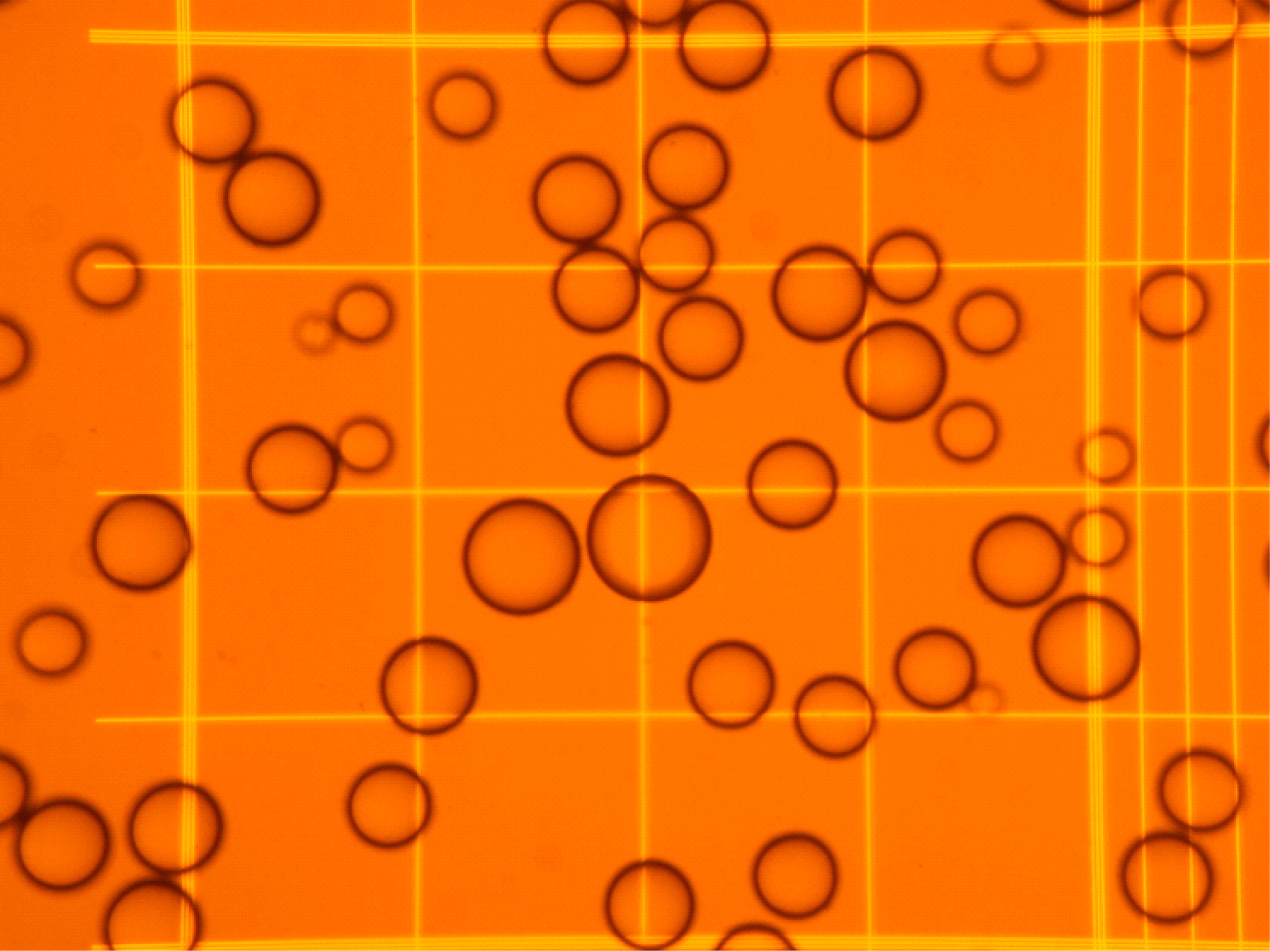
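Isolated adipocytes lie free in suspension as separate round spheres of clearly differing sizes, scattered singly or touching in small groups. Each cell shows a thin dark rim around a clear, uniform interior, with no nucleus or granular cytoplasm to be made out. Bright yellow ruled lines of the counting chamber grid cross the field behind the cells.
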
